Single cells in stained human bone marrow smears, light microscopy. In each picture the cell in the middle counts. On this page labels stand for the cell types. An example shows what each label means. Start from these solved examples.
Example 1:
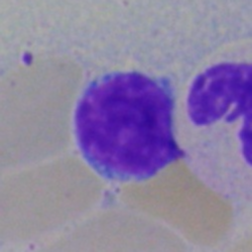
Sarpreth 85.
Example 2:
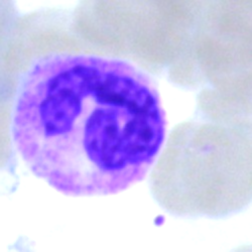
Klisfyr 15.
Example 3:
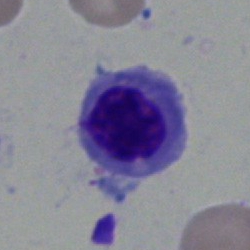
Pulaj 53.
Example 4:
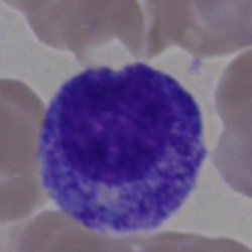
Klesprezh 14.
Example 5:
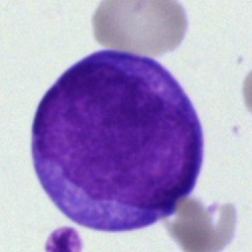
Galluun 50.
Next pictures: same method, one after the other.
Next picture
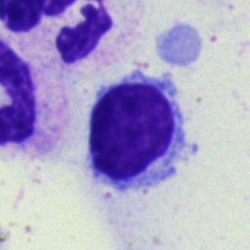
Sarpreth 85.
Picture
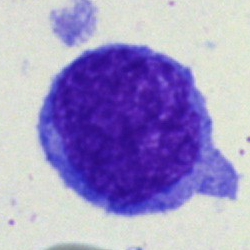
Galluun 50.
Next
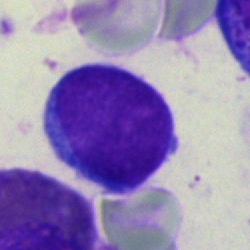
Sarpreth 85.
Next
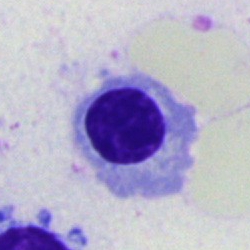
Pulaj 53.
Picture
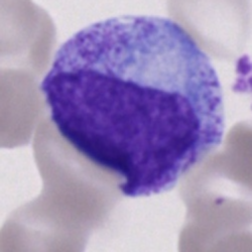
Klesprezh 14.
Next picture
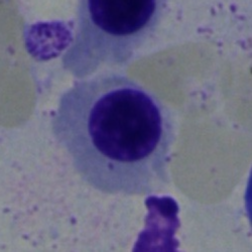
Pulaj 53.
